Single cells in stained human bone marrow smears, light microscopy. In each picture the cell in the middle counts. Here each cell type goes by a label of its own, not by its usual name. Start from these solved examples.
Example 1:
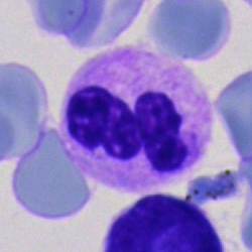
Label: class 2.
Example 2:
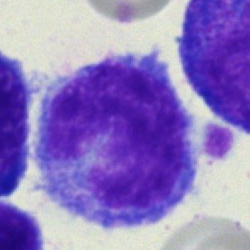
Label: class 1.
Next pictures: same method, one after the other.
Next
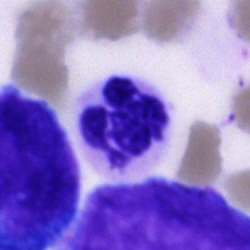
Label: class 2.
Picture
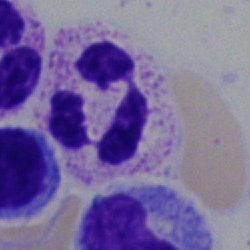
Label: class 2.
